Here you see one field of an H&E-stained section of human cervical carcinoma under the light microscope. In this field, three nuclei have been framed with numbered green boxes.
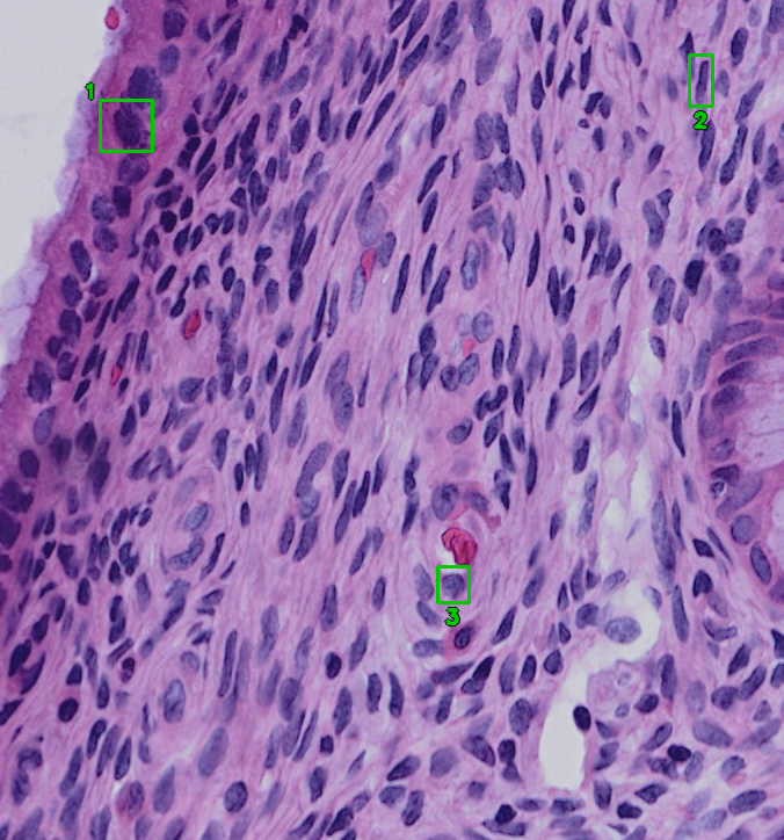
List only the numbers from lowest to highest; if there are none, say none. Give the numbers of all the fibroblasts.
2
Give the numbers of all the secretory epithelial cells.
1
